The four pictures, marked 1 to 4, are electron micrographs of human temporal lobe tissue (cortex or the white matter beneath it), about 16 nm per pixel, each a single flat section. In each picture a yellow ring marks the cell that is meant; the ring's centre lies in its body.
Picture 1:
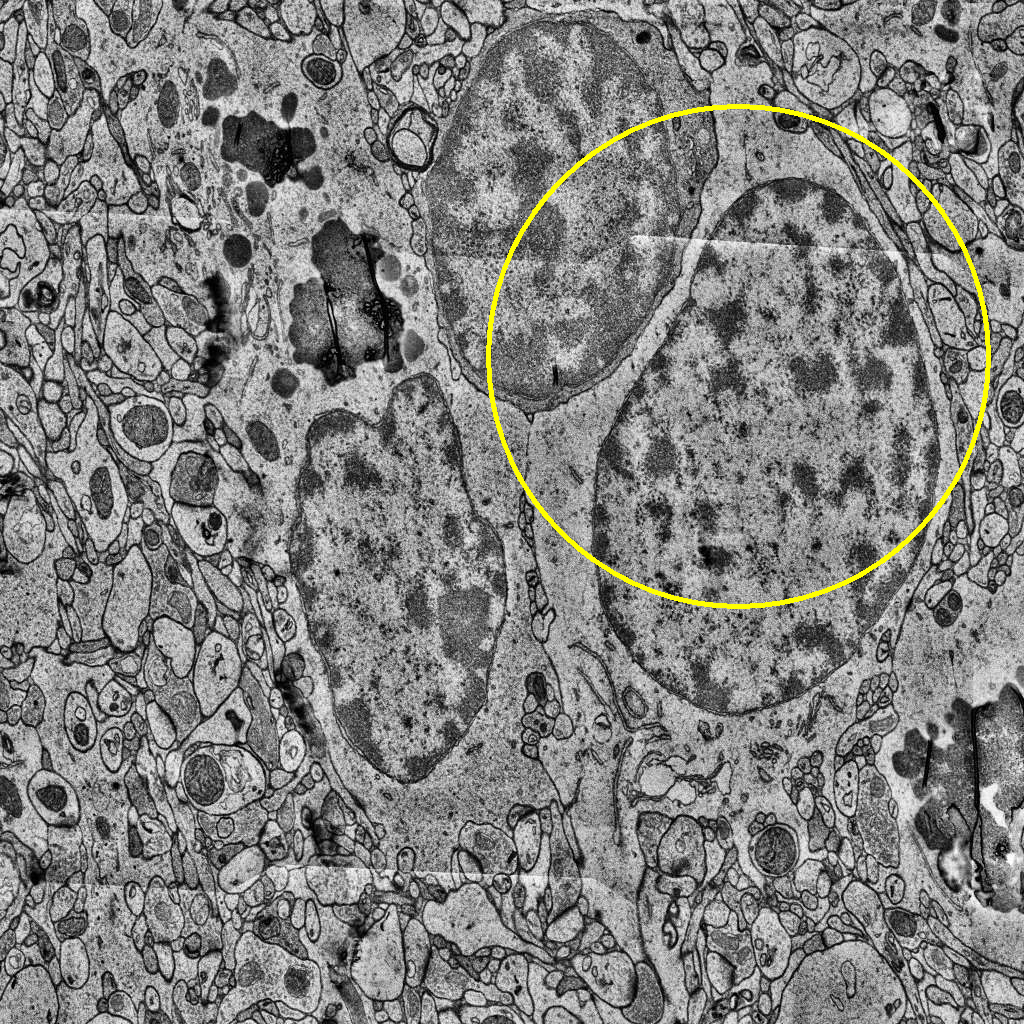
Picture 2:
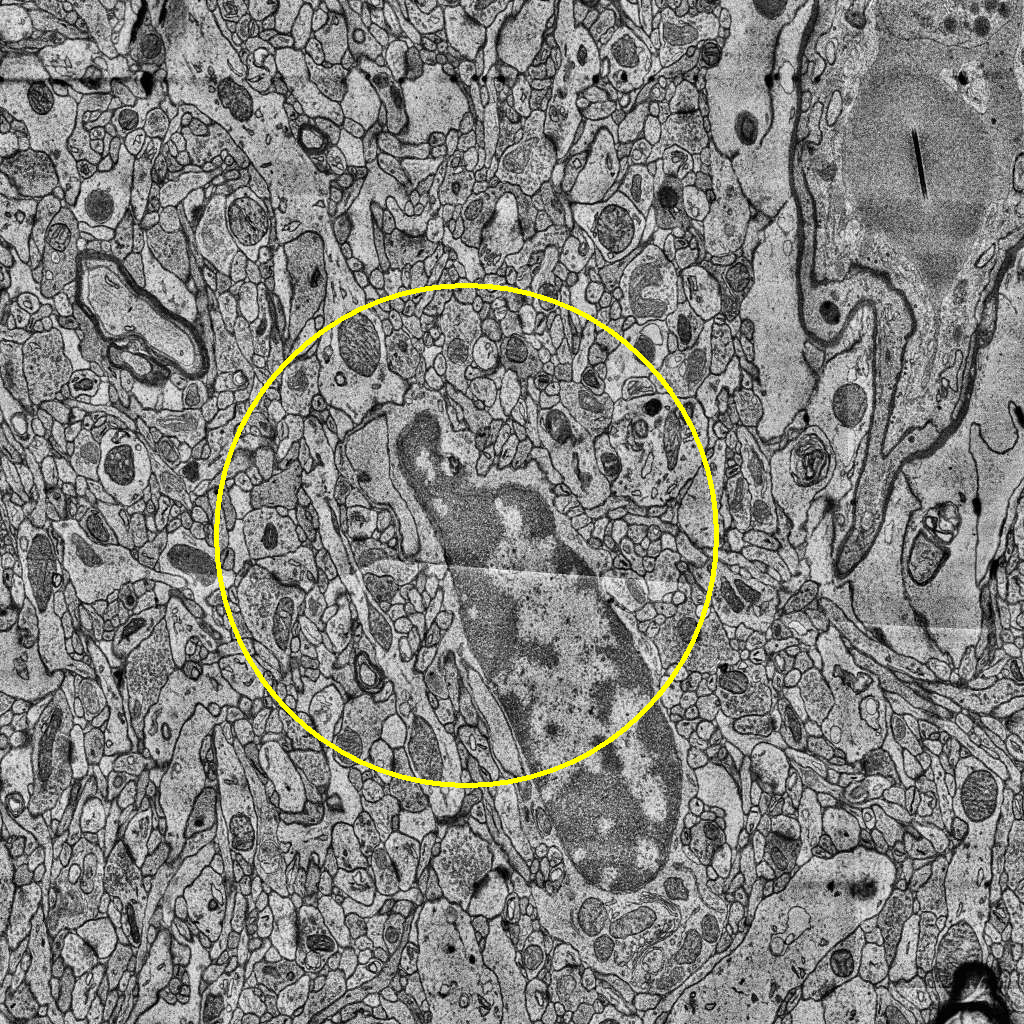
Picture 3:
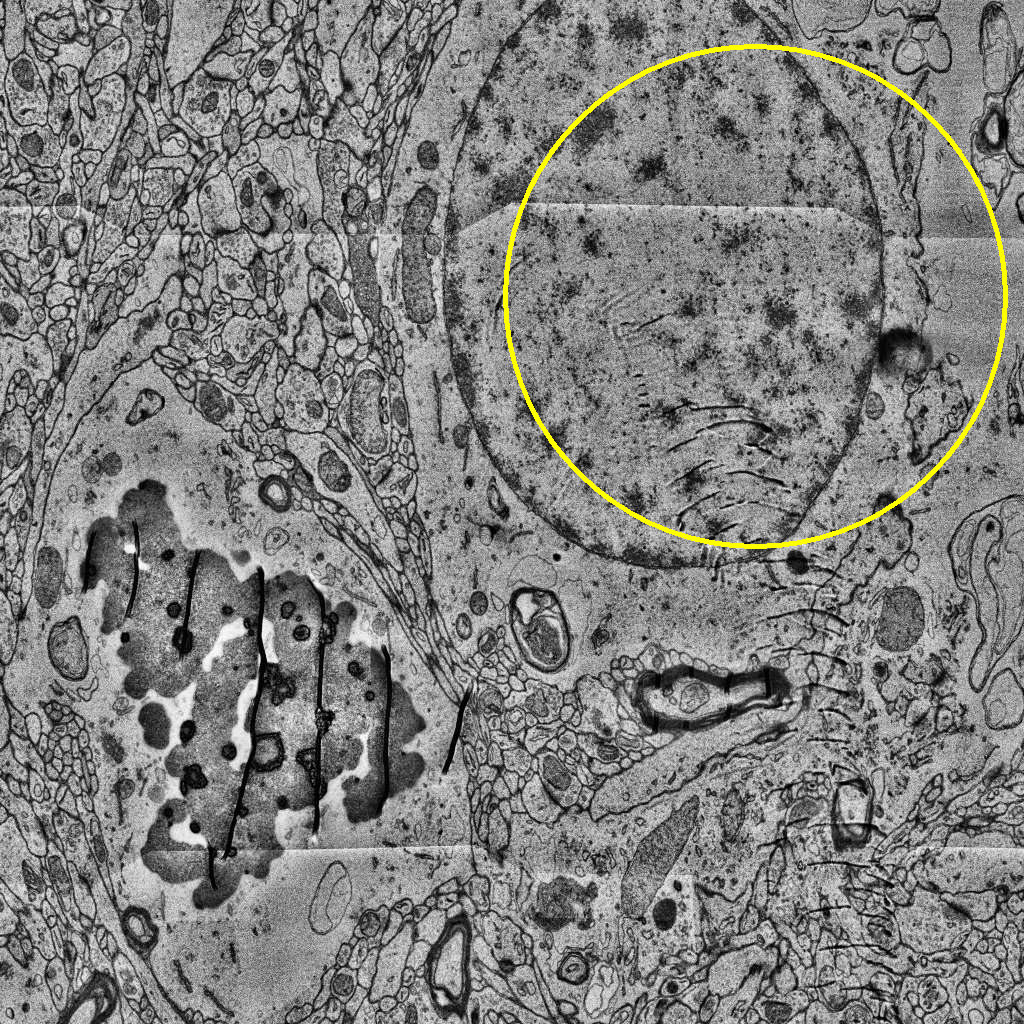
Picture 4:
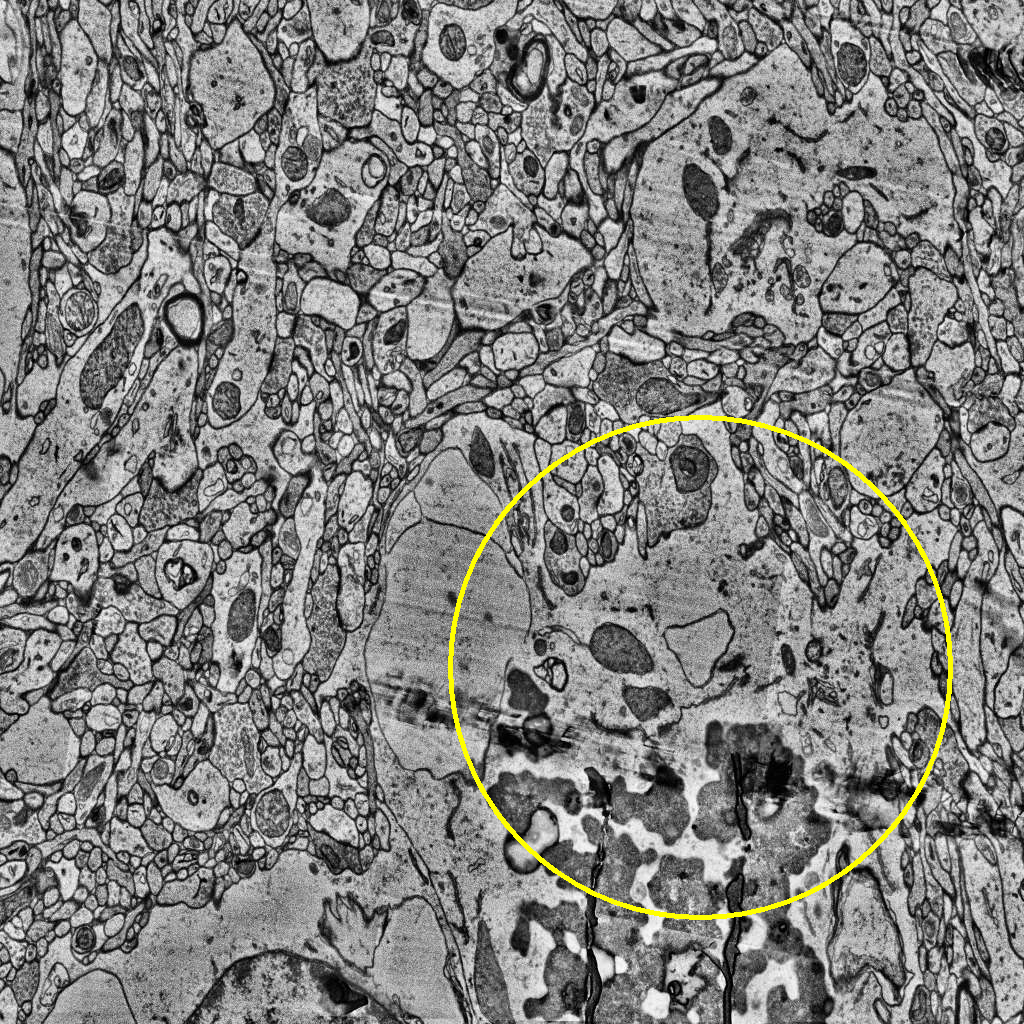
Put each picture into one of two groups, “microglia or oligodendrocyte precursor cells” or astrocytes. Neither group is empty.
Picture 2 shows a “microglia or oligodendrocyte precursor cell”, while pictures 1, 3 and 4 show astrocytes.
